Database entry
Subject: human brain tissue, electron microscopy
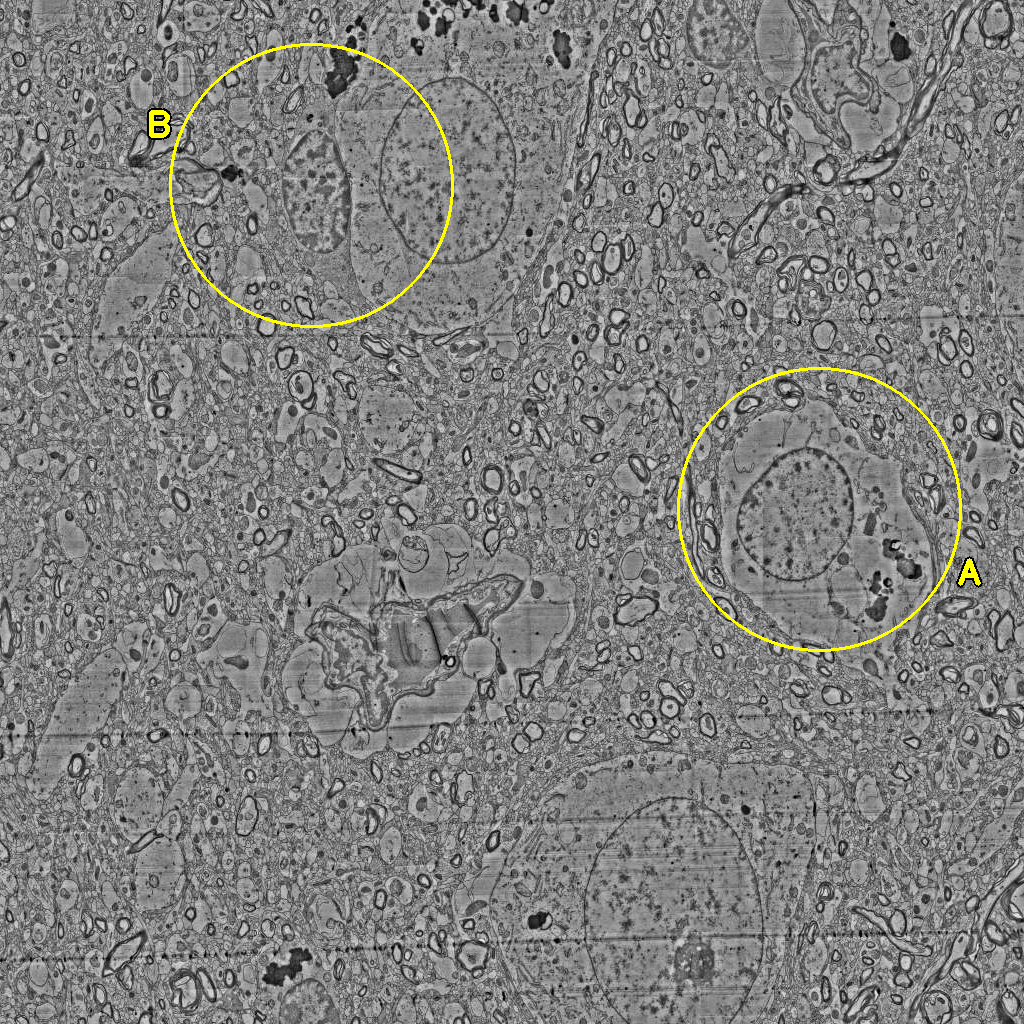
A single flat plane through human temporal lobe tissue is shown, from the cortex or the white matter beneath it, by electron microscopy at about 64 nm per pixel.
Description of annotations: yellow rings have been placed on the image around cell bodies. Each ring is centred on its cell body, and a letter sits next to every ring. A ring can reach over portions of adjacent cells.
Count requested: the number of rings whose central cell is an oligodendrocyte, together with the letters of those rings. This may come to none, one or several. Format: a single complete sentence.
The ring labelled B is the only one centred on an oligodendrocyte.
